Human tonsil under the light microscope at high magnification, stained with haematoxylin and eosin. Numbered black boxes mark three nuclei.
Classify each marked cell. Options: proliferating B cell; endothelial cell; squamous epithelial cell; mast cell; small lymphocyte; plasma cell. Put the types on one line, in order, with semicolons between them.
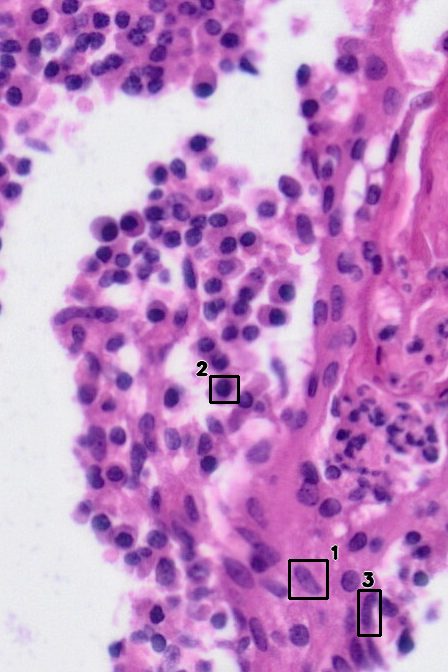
squamous epithelial cell; plasma cell; squamous epithelial cell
